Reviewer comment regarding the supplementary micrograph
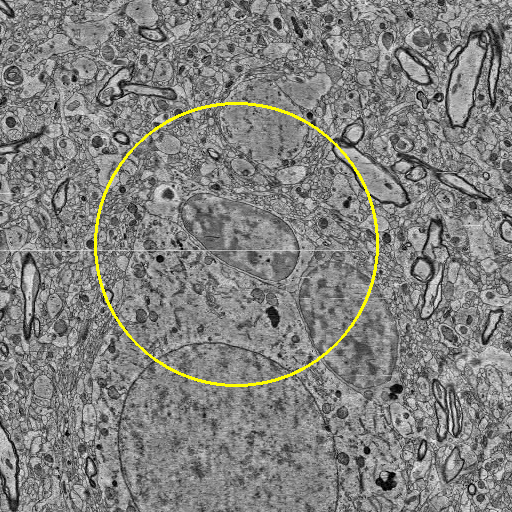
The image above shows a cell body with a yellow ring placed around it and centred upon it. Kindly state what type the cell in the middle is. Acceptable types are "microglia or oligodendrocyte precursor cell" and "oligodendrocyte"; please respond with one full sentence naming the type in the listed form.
In the image above, the cell on which the yellow ring is centred is a microglial cell or oligodendrocyte precursor cell.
